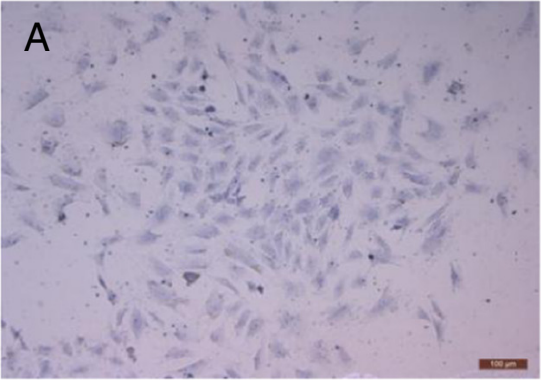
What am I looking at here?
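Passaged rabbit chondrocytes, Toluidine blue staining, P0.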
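A sparse monolayer of cultured cells lies scattered across a pale background, stained in light blue to lavender. The cells are polygonal to spindle-shaped with short extensions, and many lie singly with gaps between them. Small dark granules and debris are scattered among the cells.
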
